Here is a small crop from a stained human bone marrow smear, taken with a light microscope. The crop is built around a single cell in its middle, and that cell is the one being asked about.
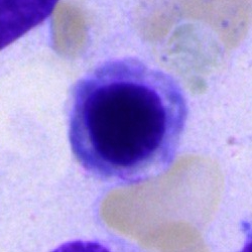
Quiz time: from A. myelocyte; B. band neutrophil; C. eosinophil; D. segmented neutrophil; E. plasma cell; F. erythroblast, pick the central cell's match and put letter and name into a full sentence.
In this crop the central cell is an erythroblast, which option F correctly states.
